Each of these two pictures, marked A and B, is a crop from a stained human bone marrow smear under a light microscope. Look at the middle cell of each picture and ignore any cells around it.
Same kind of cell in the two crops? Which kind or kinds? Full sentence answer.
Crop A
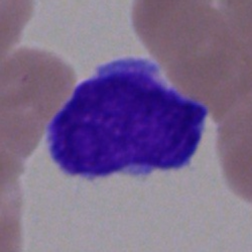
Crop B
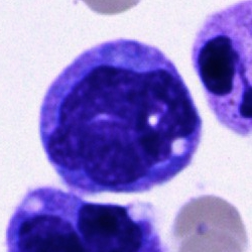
No, mark crop A as a blast and crop B as a monocyte.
